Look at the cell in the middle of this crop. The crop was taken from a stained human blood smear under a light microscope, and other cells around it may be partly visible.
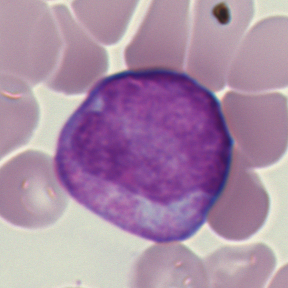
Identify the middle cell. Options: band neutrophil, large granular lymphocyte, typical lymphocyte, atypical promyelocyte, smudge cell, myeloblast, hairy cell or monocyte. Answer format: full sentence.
Among the cells in view, the one in the middle is an atypical promyelocyte.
